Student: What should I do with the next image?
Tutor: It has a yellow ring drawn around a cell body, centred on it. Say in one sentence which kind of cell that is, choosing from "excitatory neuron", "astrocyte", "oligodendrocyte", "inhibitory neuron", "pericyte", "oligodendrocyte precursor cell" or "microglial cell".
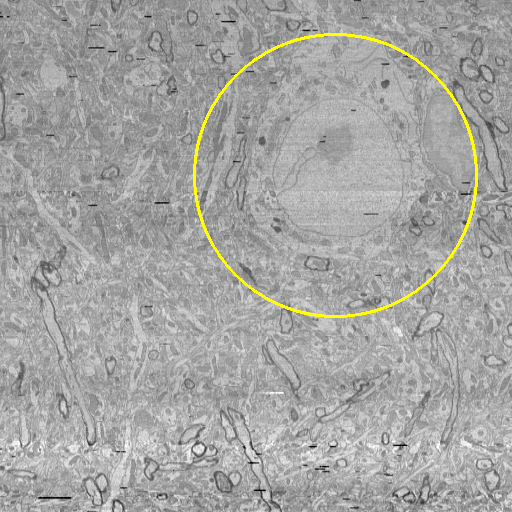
The ring's centre is occupied by an excitatory neuron.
